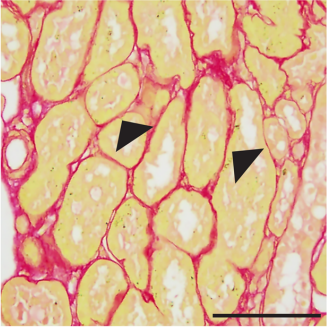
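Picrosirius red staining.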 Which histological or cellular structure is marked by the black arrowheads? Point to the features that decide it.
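The arrowheads point to thin red lines that ring individual tubules. The red lines sit at the outer edge of the yellow tubular epithelium.
Hence: tubular basement membrane.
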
